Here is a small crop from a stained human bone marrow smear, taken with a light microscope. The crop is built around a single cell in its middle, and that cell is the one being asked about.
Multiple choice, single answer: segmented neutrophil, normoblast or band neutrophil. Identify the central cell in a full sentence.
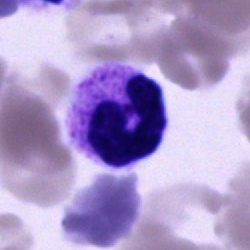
The cell around which this crop is centred is a segmented neutrophil.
